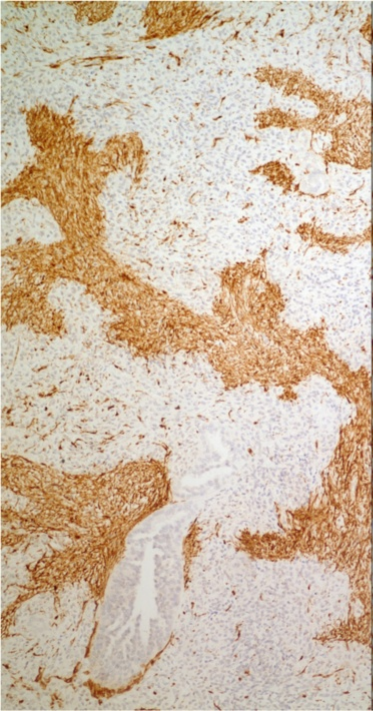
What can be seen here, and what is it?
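The brown cells are elongated and arranged in streaming fascicles, while the pale areas form lobule-like islands between them. A branching gland-like structure with unstained epithelium sits near the bottom, bordered by a thin brown rim.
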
